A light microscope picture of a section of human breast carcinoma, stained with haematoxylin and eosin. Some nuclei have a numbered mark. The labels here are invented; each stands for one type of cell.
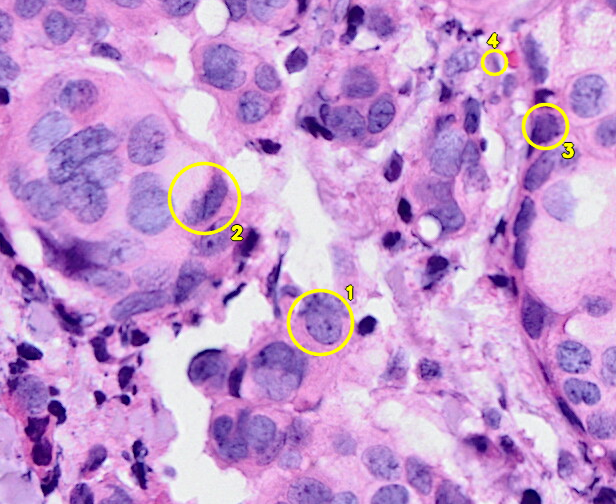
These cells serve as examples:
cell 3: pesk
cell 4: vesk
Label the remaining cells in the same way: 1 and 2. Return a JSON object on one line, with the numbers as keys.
{"1": "pesk", "2": "pesk"}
